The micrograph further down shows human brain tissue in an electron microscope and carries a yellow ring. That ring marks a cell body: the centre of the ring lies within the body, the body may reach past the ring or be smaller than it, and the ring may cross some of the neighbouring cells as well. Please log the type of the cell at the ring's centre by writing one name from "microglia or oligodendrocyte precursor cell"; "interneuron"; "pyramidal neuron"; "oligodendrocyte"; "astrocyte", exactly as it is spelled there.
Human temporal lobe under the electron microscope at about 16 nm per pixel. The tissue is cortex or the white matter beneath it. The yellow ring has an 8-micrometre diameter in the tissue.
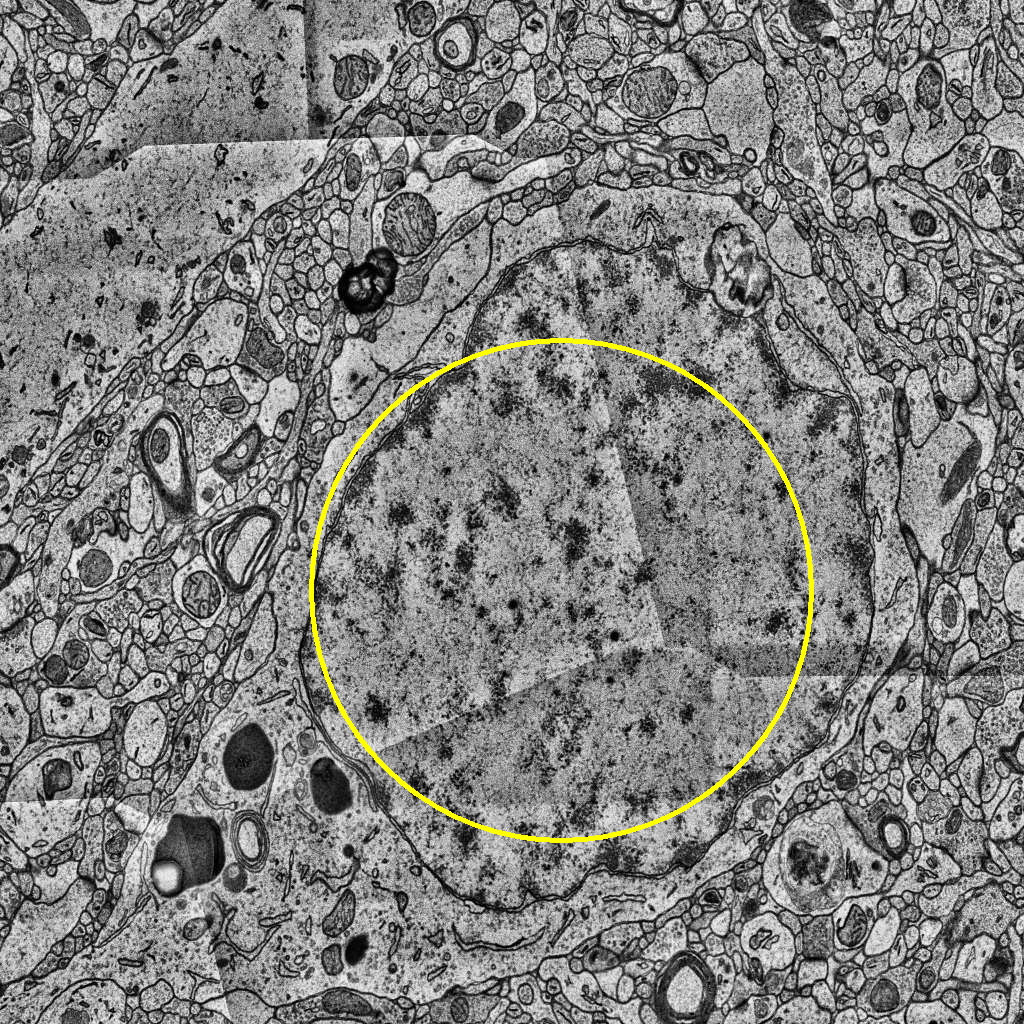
interneuron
